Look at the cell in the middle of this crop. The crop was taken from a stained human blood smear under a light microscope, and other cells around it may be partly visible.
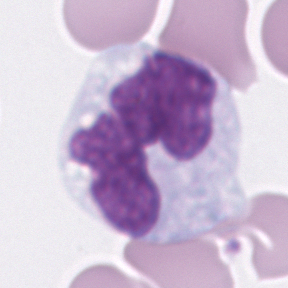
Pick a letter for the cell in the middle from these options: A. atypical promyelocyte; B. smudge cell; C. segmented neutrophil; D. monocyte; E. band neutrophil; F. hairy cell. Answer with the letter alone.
D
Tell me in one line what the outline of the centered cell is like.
From every side, the cell boundary is smooth and free of projections.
